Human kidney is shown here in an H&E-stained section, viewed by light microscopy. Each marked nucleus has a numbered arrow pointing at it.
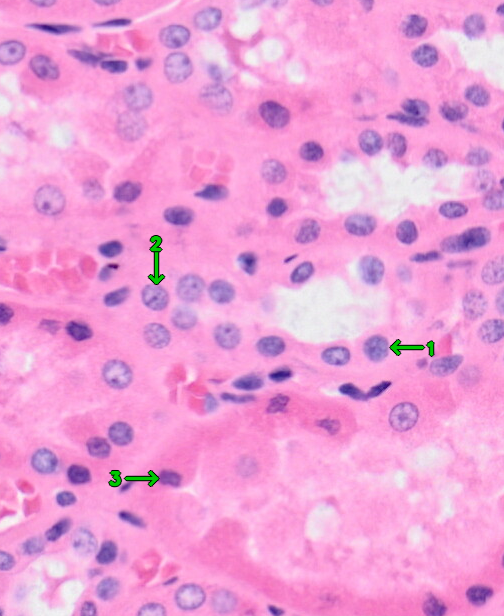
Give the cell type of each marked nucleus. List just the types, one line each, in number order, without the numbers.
loop of Henle or distal tubule cell
loop of Henle or distal tubule cell
proximal tubule cell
